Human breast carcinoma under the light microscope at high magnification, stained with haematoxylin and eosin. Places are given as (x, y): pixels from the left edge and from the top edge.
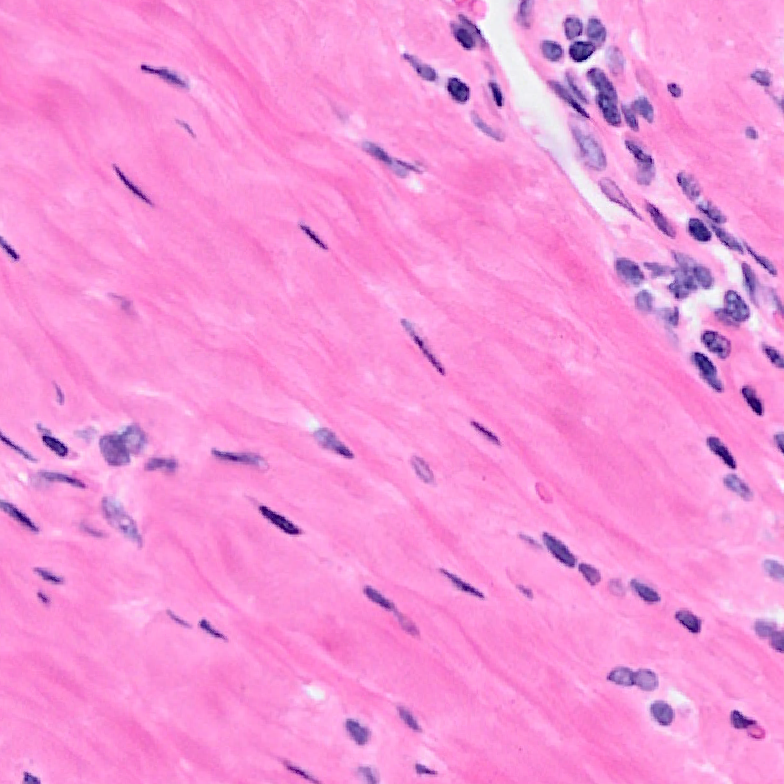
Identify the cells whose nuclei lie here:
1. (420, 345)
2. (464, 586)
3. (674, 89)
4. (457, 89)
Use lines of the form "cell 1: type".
cell 1: fibroblast
cell 2: fibroblast
cell 3: lymphocyte
cell 4: lymphocyte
